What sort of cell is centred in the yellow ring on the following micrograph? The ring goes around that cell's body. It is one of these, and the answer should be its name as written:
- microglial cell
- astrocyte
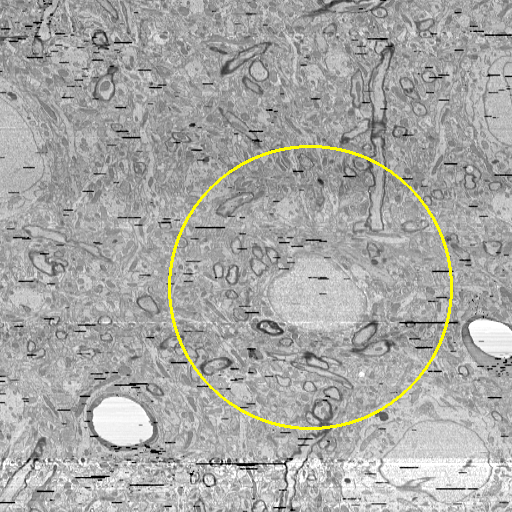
astrocyte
